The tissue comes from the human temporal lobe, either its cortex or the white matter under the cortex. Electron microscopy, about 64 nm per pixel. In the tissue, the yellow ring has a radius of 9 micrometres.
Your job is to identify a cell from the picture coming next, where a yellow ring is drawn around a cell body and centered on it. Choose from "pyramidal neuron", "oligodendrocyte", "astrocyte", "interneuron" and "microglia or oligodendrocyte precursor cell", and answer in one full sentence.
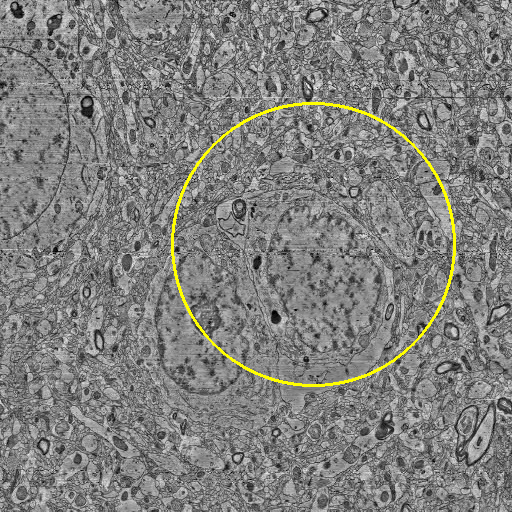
Centered in the yellow ring of the picture is the body of an interneuron.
